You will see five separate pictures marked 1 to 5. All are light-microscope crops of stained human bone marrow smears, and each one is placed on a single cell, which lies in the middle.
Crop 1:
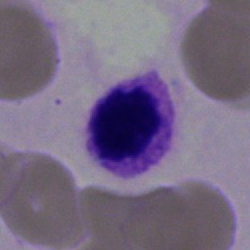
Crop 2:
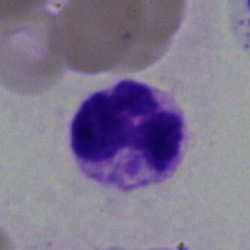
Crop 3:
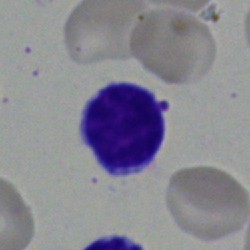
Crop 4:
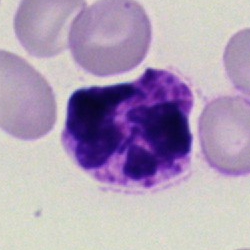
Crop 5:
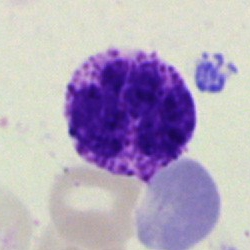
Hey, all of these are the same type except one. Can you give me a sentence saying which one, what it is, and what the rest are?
What sets crop 3 apart is that it is a lymphocyte; the others are all basophils.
